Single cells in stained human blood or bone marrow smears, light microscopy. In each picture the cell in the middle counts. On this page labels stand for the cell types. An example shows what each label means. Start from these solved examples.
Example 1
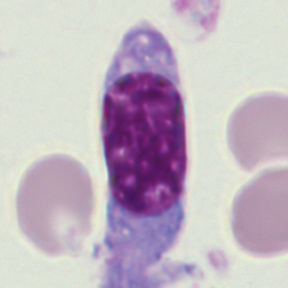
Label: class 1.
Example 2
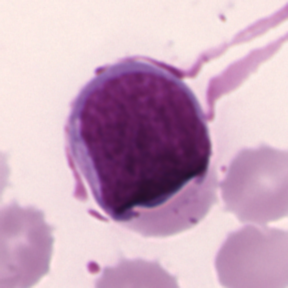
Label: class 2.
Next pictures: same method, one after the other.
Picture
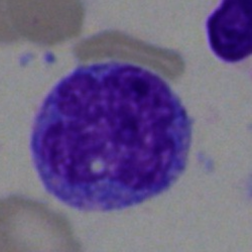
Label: class 2.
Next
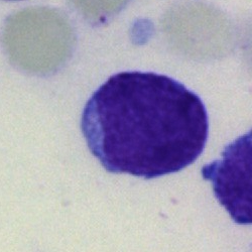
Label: class 2.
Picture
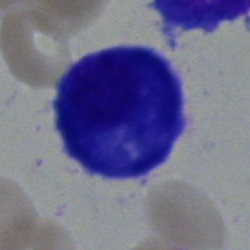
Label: class 1.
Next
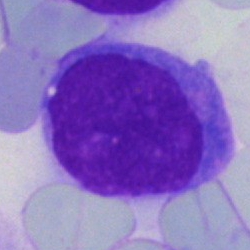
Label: class 2.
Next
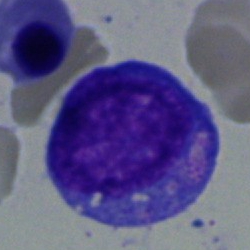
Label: class 2.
